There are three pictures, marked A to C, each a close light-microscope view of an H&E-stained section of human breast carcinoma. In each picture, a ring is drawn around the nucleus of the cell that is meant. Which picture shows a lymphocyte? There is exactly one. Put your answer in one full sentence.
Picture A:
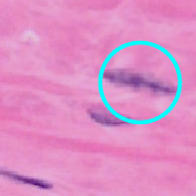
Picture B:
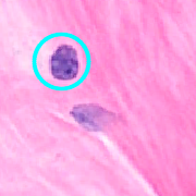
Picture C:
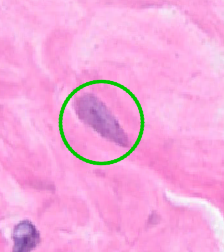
Picture B shows the lymphocyte.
